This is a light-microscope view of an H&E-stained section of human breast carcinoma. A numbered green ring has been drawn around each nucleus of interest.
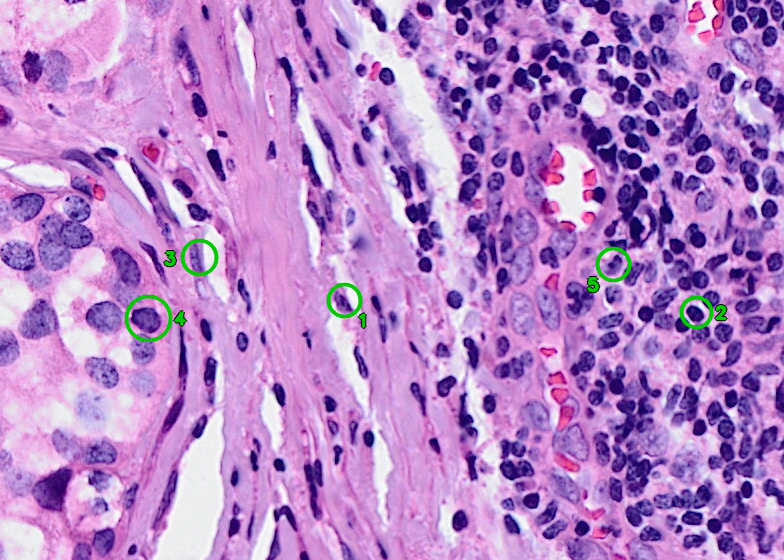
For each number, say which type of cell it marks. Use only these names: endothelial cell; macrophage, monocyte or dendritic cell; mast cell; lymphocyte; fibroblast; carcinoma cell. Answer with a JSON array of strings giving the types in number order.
["fibroblast", "lymphocyte", "fibroblast", "carcinoma cell", "lymphocyte"]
